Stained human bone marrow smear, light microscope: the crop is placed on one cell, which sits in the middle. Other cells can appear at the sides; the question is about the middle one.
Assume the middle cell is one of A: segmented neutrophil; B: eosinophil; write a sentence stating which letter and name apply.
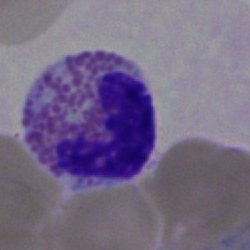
Option B, which names the central cell as an eosinophil, is correct.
